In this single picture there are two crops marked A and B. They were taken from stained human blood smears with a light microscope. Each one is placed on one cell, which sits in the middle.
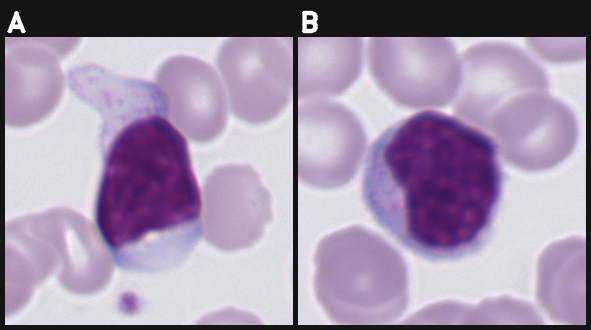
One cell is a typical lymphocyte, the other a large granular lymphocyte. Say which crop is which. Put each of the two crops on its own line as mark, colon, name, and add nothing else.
A: large granular lymphocyte
B: typical lymphocyte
